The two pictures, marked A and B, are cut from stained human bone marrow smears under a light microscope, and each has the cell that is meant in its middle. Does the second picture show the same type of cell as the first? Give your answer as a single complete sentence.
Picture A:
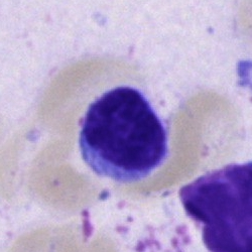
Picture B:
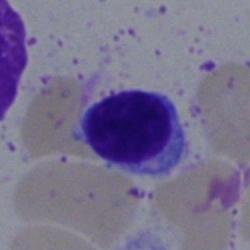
Yes, both cells are lymphocytes.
